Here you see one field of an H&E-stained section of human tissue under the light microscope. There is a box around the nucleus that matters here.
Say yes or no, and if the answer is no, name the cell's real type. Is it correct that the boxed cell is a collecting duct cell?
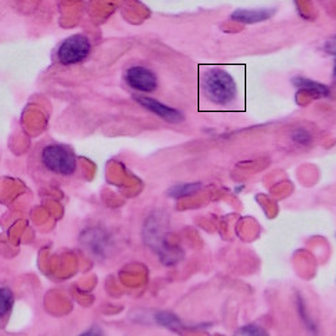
No, it is a type I pneumocyte.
